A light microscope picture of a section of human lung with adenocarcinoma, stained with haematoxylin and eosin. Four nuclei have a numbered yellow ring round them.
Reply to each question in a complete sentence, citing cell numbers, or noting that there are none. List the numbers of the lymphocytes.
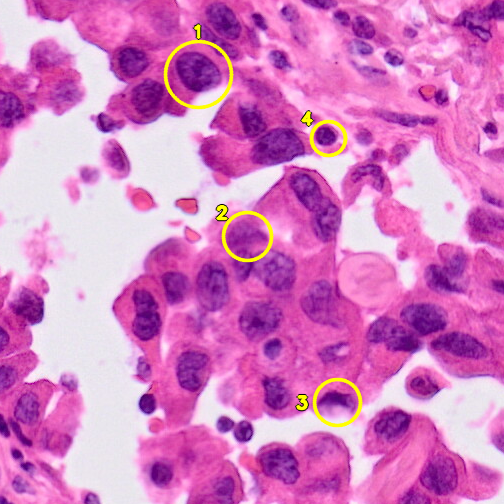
Cell 4 is the only numbered cell that is a lymphocyte.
